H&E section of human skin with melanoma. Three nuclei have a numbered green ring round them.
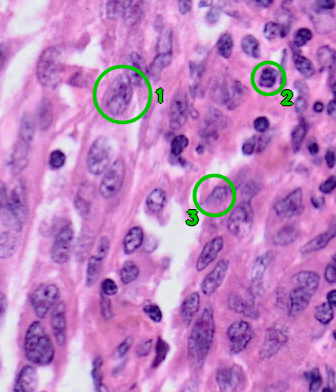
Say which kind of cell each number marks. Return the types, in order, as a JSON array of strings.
["melanoma cell", "lymphocyte", "melanoma cell"]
